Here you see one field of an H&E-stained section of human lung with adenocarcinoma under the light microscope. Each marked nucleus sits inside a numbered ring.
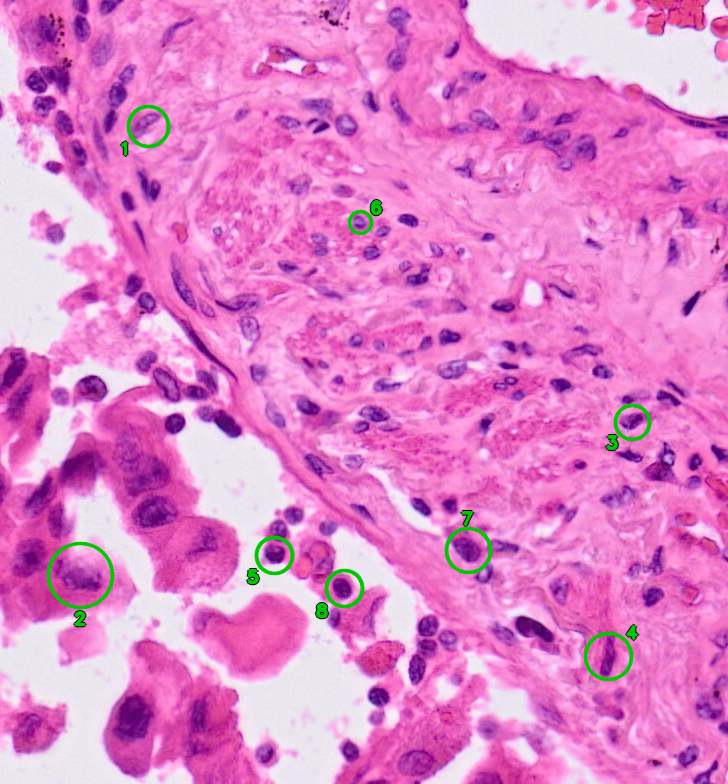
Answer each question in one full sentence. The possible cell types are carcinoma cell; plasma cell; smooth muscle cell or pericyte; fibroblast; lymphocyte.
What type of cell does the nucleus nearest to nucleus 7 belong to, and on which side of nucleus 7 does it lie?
Lying below and to the right of nucleus 7, the nearest nucleus is that of a fibroblast.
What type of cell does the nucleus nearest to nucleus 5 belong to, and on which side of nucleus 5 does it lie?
The nearest nucleus is that of a lymphocyte and lies above nucleus 5.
